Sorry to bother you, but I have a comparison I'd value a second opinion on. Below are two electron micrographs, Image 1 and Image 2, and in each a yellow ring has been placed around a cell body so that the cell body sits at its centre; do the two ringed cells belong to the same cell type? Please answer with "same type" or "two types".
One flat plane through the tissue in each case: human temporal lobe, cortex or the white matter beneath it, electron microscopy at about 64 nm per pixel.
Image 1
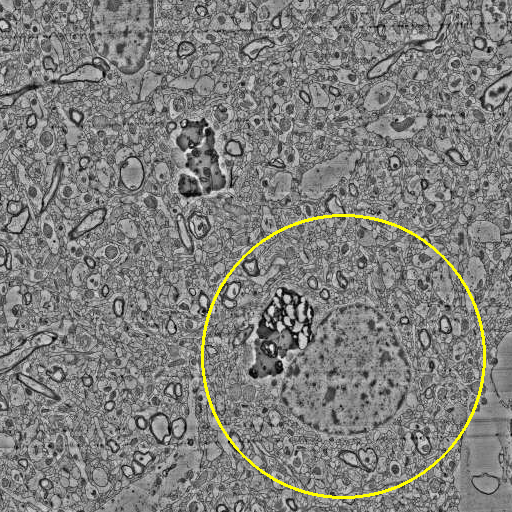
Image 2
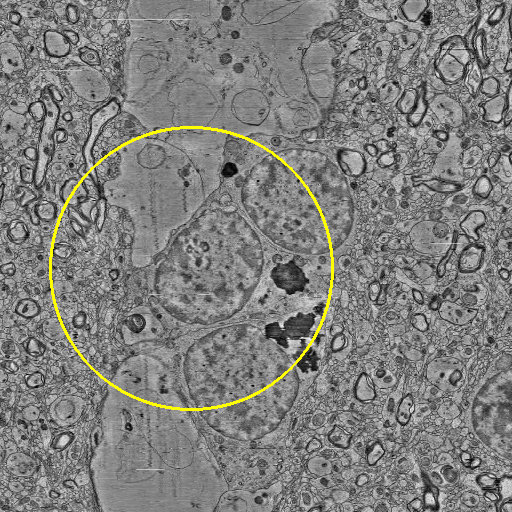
two types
